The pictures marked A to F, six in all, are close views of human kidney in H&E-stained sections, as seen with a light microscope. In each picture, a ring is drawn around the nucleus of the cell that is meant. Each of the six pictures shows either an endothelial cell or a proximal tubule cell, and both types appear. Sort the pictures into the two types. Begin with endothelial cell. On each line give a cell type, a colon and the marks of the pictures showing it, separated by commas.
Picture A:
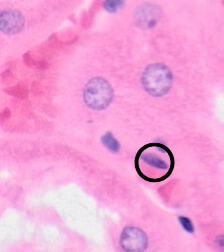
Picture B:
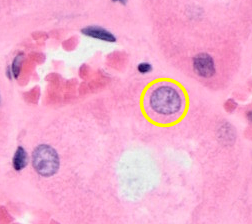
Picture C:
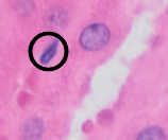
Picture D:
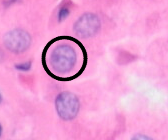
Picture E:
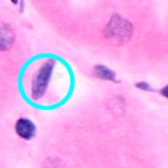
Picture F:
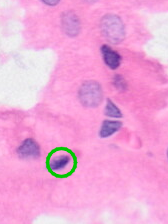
endothelial cell: A, C, E, F
proximal tubule cell: B, D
